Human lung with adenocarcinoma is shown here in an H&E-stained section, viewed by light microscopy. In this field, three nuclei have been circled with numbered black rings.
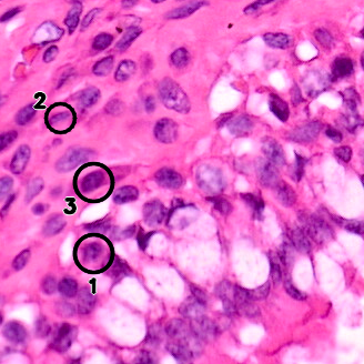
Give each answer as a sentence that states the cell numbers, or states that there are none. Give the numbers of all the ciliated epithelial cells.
Only nucleus 1 belongs to a ciliated epithelial cell; the other numbered nuclei do not.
